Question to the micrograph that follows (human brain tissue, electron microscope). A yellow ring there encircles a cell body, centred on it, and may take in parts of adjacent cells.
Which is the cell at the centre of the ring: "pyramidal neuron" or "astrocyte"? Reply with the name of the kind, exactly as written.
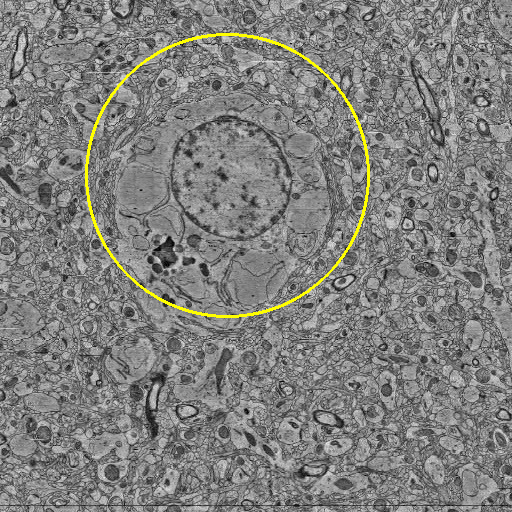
astrocyte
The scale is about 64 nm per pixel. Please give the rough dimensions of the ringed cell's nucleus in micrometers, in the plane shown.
About 8 micrometres across in this plane.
